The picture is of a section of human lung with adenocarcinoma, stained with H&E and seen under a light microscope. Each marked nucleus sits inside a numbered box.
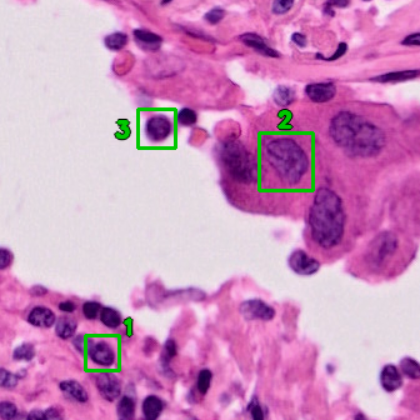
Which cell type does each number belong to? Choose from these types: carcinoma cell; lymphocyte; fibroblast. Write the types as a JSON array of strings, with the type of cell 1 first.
["lymphocyte", "carcinoma cell", "lymphocyte"]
